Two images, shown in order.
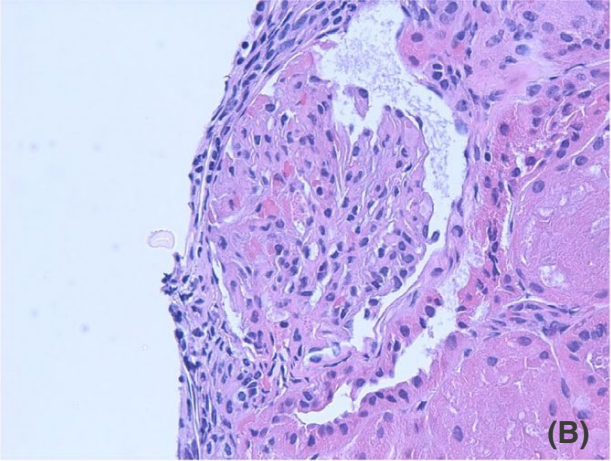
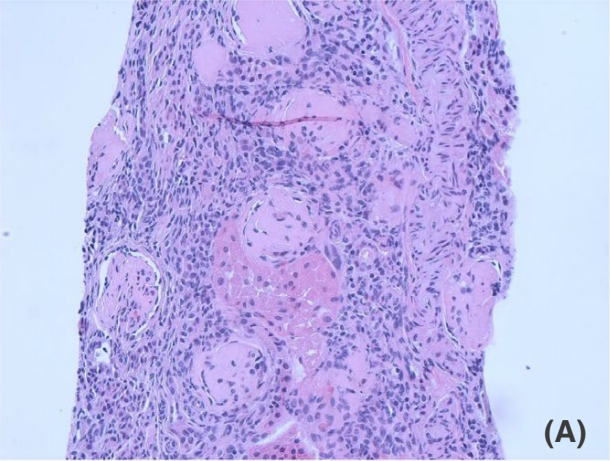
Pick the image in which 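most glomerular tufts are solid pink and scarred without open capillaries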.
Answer: the second image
